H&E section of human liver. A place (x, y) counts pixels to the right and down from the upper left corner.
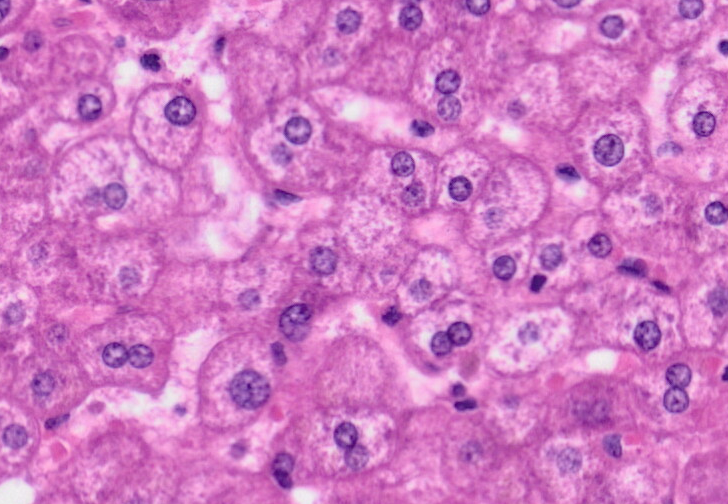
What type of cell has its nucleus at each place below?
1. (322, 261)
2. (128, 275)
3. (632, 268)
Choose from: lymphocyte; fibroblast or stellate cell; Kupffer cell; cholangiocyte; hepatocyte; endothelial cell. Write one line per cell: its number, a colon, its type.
1: hepatocyte
2: hepatocyte
3: endothelial cell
